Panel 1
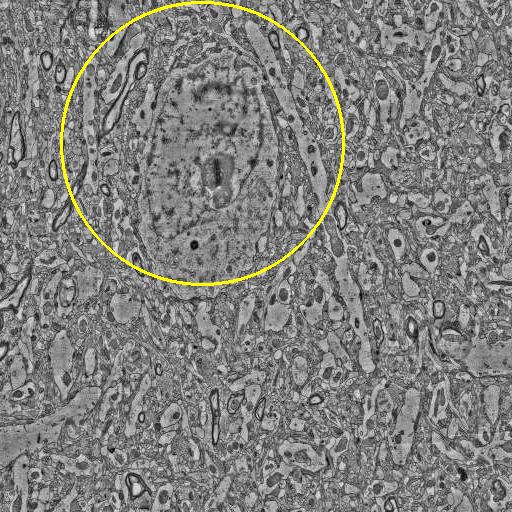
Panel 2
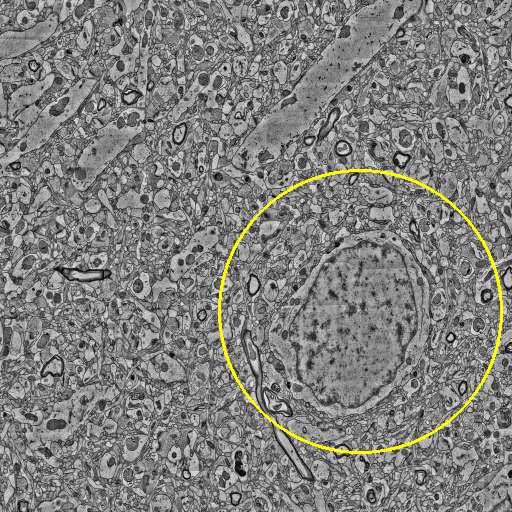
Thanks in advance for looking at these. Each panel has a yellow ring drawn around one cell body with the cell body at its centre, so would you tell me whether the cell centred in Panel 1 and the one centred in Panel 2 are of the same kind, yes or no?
yes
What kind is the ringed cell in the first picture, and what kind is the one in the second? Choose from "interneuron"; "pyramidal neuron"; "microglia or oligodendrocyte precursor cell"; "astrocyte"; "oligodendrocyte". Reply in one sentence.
The second cell is an interneuron, just as the first is.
